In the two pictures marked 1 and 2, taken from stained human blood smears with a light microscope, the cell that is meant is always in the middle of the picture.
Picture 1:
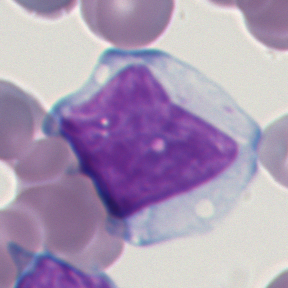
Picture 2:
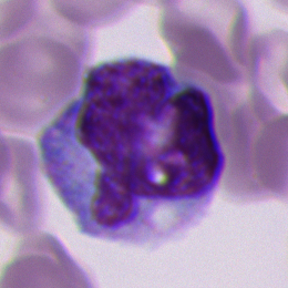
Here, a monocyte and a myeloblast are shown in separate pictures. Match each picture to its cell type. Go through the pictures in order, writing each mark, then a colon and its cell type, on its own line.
1: myeloblast
2: monocyte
